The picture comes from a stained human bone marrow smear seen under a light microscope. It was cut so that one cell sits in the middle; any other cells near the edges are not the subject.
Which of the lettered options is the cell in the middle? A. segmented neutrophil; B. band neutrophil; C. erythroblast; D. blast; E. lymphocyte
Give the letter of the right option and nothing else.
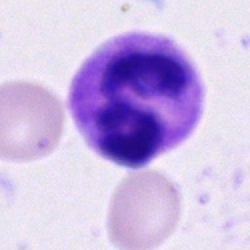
A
